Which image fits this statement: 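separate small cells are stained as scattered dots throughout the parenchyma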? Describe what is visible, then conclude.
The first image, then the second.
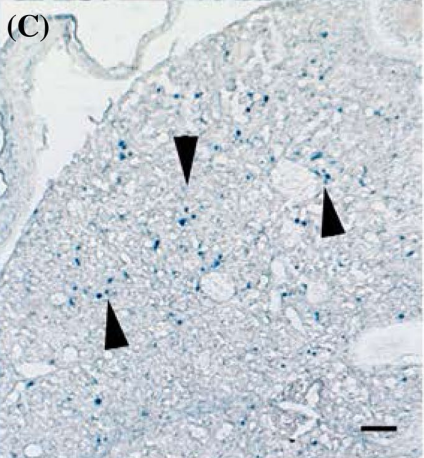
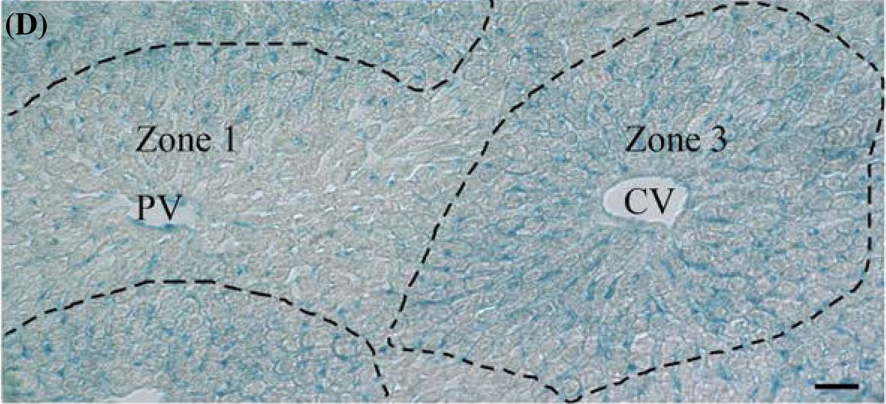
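Second image: blue stain lies as thin lines along the cell cords, stronger around the central vessel. First image: blue stain appears as discrete dots on single cells scattered across the tissue.
Answer: the first image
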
